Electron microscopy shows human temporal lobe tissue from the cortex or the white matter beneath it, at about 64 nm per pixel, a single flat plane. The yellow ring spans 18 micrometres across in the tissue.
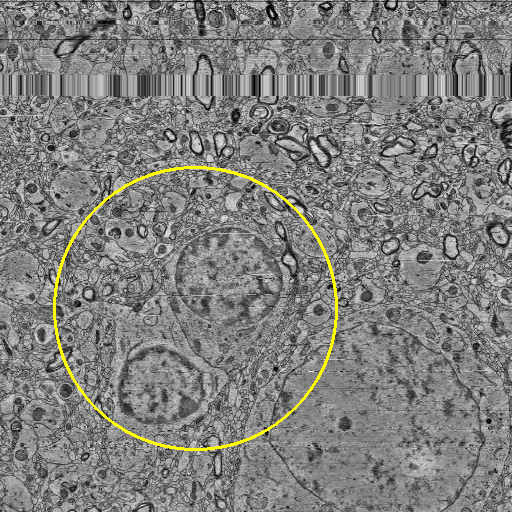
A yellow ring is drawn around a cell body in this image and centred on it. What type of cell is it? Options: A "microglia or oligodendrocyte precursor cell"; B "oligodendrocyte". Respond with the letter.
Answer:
B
